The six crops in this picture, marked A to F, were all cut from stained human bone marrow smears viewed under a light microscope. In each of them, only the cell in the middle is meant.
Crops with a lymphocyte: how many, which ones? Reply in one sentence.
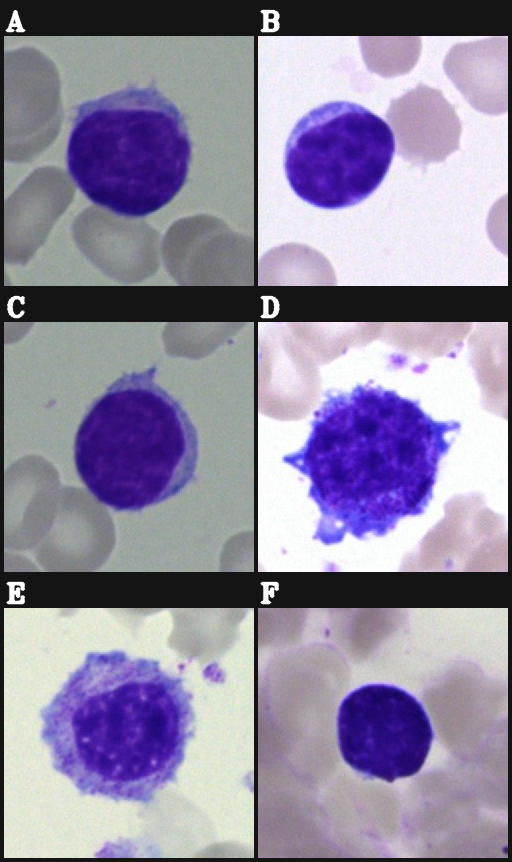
The crops labelled A, B, C and F show lymphocytes, four crops in total.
